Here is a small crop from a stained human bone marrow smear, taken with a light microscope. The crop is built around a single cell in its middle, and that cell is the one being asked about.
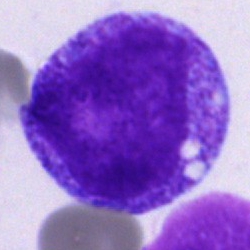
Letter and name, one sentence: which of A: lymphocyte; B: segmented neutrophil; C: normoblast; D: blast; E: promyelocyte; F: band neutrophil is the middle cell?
In this crop the middle cell is a promyelocyte, so option E is the correct answer.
